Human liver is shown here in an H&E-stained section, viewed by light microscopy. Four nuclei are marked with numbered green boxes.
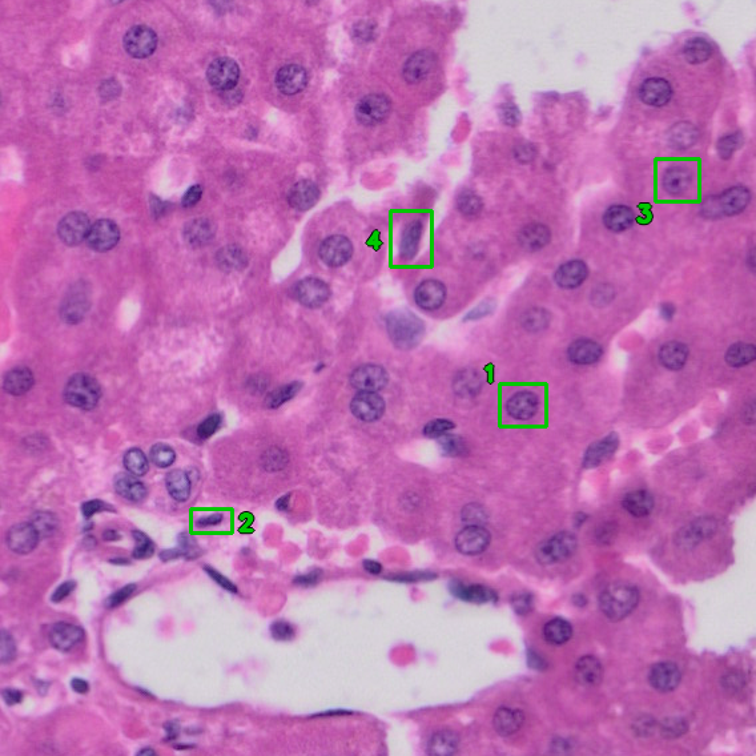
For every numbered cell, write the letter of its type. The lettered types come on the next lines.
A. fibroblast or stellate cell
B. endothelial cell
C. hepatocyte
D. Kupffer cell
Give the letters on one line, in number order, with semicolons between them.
C; A; C; D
